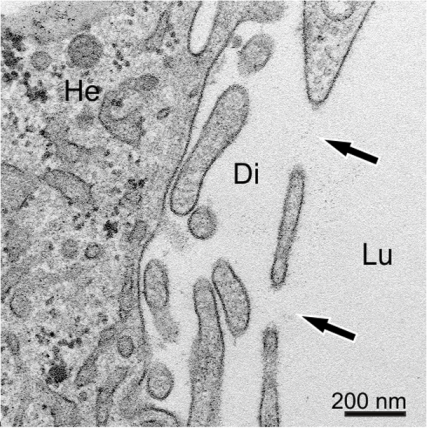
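A high-magnification view of the wall of a sinusoid, with the lining of sinusoidal endothelial cells between an empty lumen on the right and a neighbouring cell on the left. The endothelial lining is a very thin sheet of cytoplasm, bounded by dark membranes, broken into separate segments by open gaps, the fenestrations, through which the lumen communicates with the space beneath. In that space lie many finger-like projections, cut lengthwise and across, arising from the granular cytoplasm of the cell on the left. The lumen itself is pale and featureless.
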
